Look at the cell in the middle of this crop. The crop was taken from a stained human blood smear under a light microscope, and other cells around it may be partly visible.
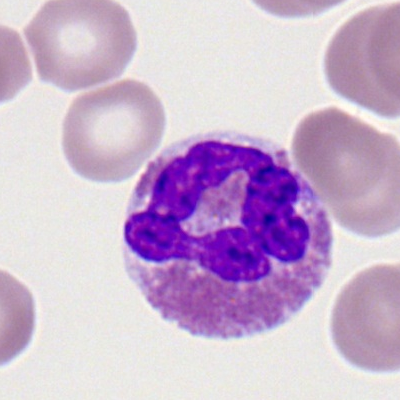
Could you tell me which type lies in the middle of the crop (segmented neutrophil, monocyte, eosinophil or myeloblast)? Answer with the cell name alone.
eosinophil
